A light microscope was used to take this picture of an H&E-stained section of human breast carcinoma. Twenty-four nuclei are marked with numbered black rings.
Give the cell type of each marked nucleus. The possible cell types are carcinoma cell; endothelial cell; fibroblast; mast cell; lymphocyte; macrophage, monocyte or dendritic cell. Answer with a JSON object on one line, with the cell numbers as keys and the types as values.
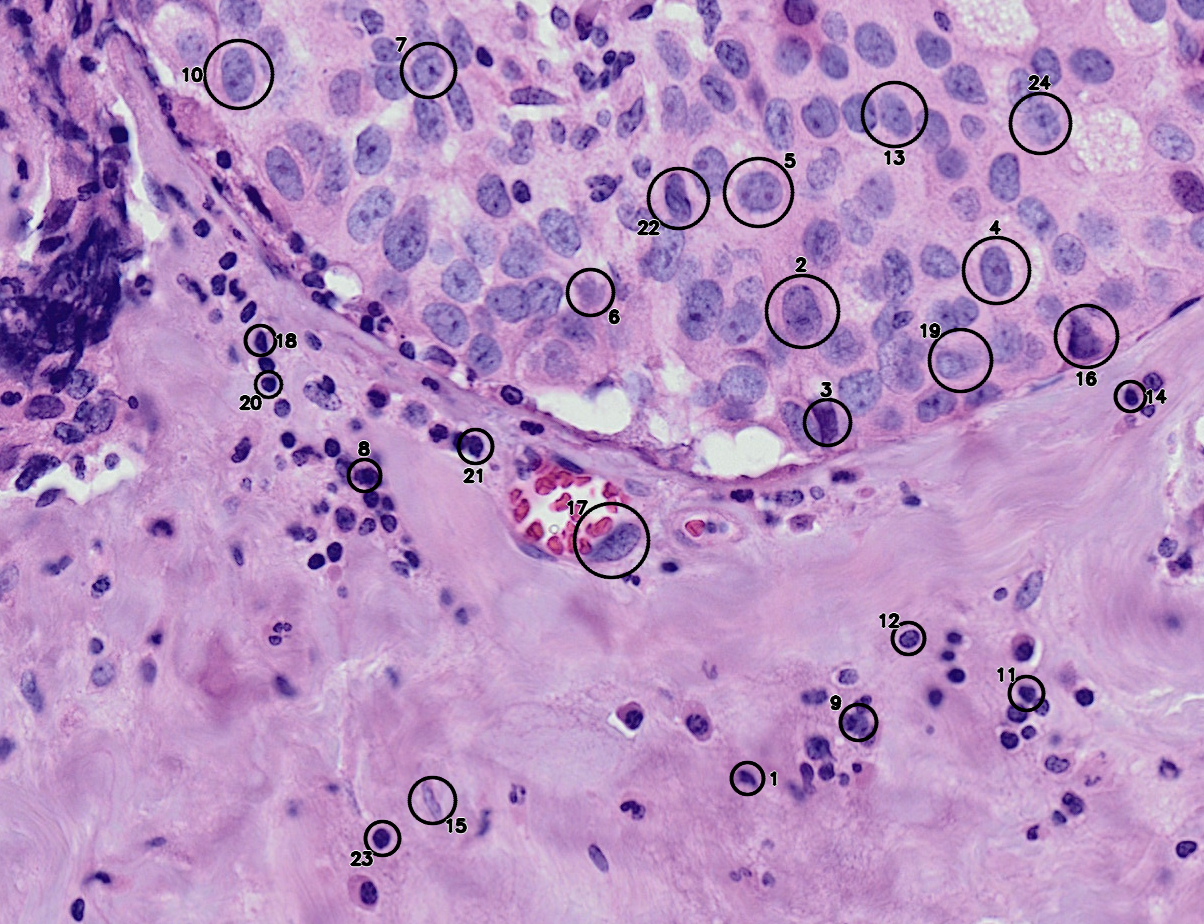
{"1": "lymphocyte", "2": "carcinoma cell", "3": "carcinoma cell", "4": "carcinoma cell", "5": "carcinoma cell", "6": "carcinoma cell", "7": "carcinoma cell", "8": "lymphocyte", "9": "lymphocyte", "10": "carcinoma cell", "11": "lymphocyte", "12": "lymphocyte", "13": "carcinoma cell", "14": "lymphocyte", "15": "fibroblast", "16": "carcinoma cell", "17": "endothelial cell", "18": "lymphocyte", "19": "carcinoma cell", "20": "lymphocyte", "21": "lymphocyte", "22": "carcinoma cell", "23": "lymphocyte", "24": "carcinoma cell"}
